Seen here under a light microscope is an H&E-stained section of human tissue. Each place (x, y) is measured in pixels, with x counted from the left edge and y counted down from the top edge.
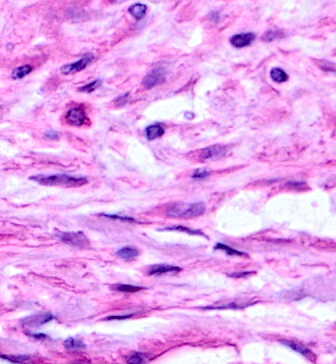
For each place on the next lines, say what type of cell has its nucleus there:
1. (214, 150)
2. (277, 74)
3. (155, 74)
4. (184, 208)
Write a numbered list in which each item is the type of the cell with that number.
1. fibroblast
2. lymphocyte
3. fibroblast
4. fibroblast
